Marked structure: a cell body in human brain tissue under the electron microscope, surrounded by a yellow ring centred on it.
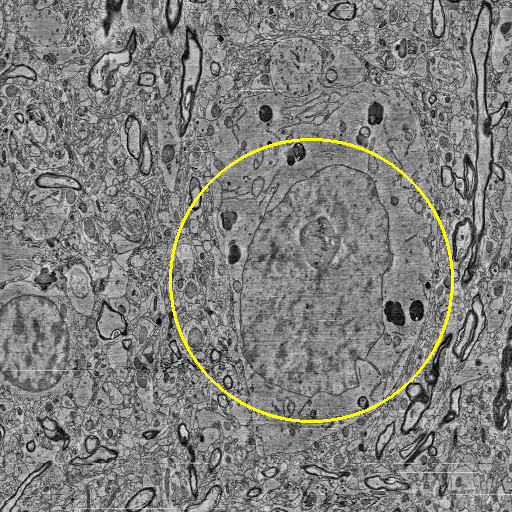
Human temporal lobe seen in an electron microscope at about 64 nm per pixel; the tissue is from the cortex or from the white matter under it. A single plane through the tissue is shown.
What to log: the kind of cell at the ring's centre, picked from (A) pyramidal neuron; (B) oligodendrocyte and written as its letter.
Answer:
A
